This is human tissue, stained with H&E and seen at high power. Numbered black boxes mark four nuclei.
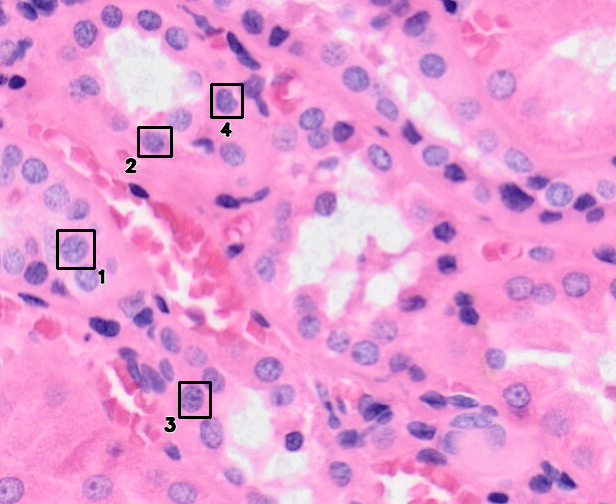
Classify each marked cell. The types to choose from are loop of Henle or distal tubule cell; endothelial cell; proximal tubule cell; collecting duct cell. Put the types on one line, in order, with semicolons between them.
collecting duct cell; loop of Henle or distal tubule cell; loop of Henle or distal tubule cell; loop of Henle or distal tubule cell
